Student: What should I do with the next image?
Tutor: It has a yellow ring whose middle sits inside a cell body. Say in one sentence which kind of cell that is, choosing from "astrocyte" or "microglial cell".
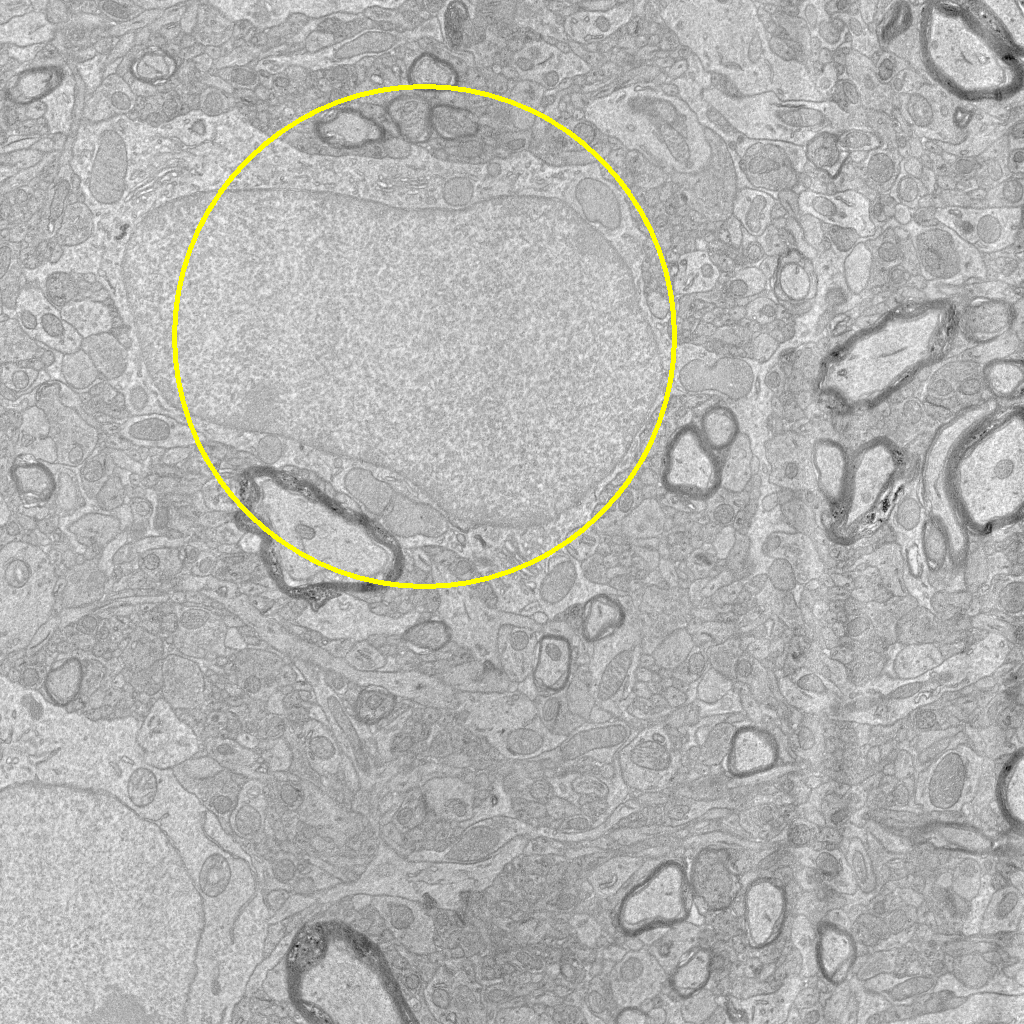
The ring's centre is occupied by an astrocyte.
